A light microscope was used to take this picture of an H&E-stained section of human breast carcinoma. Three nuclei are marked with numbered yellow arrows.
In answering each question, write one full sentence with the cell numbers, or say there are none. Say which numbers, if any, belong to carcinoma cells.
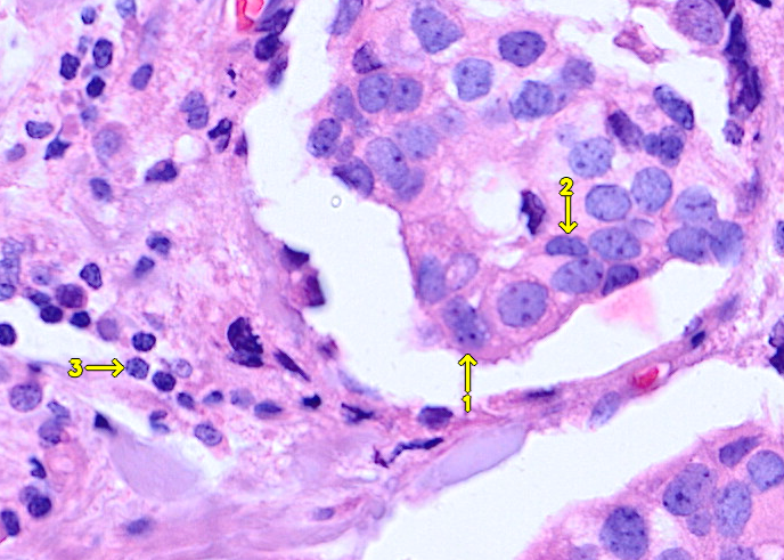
Regarding the numbered cells 1 and 2, these are carcinoma cells.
